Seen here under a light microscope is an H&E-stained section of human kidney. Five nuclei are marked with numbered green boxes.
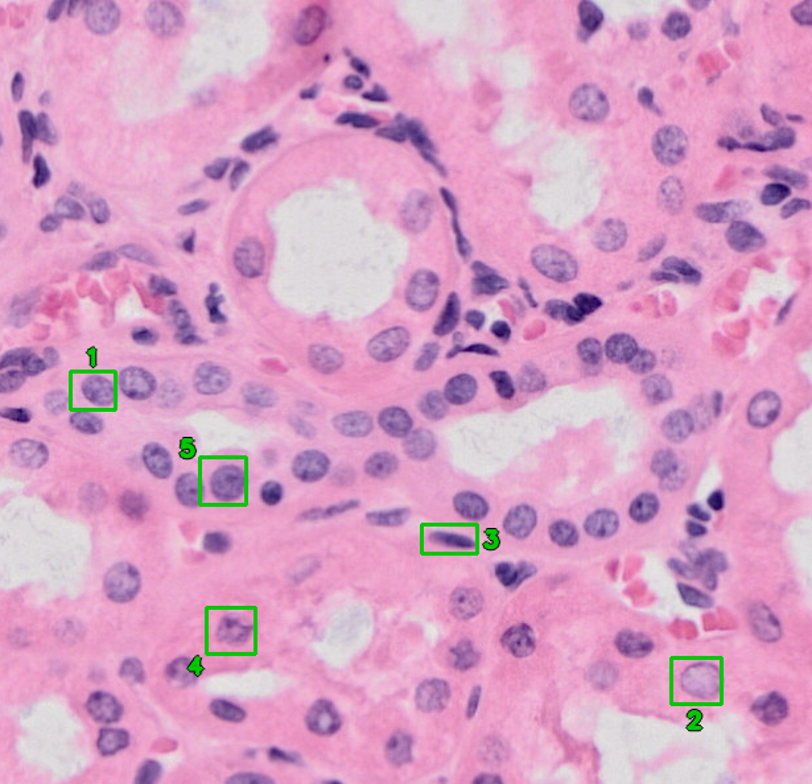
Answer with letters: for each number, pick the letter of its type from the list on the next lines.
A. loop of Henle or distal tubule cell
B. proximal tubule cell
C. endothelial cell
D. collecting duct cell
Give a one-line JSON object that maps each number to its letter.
{"1": "D", "2": "B", "3": "C", "4": "B", "5": "D"}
